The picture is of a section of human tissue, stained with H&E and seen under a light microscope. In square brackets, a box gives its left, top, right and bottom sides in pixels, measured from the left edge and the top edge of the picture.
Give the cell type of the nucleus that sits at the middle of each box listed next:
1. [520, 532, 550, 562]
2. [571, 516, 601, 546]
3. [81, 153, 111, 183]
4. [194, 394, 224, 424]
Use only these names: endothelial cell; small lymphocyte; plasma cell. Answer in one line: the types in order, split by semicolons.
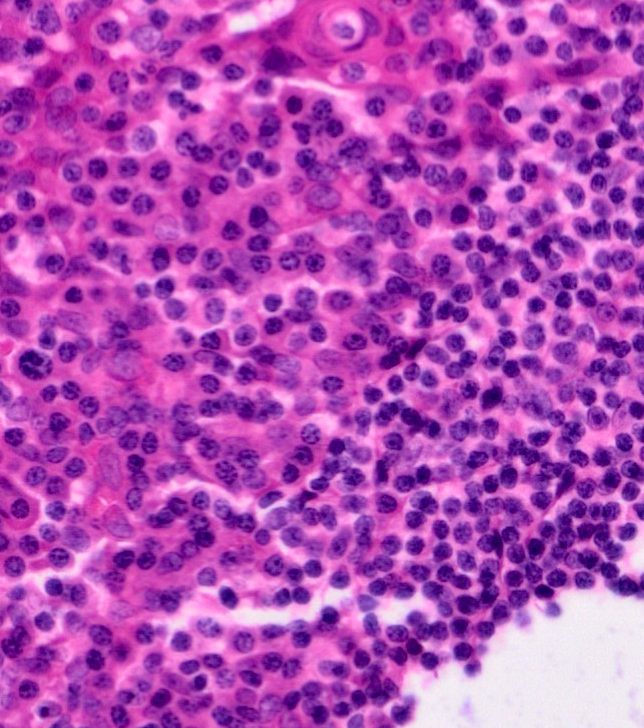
small lymphocyte; small lymphocyte; plasma cell; plasma cell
